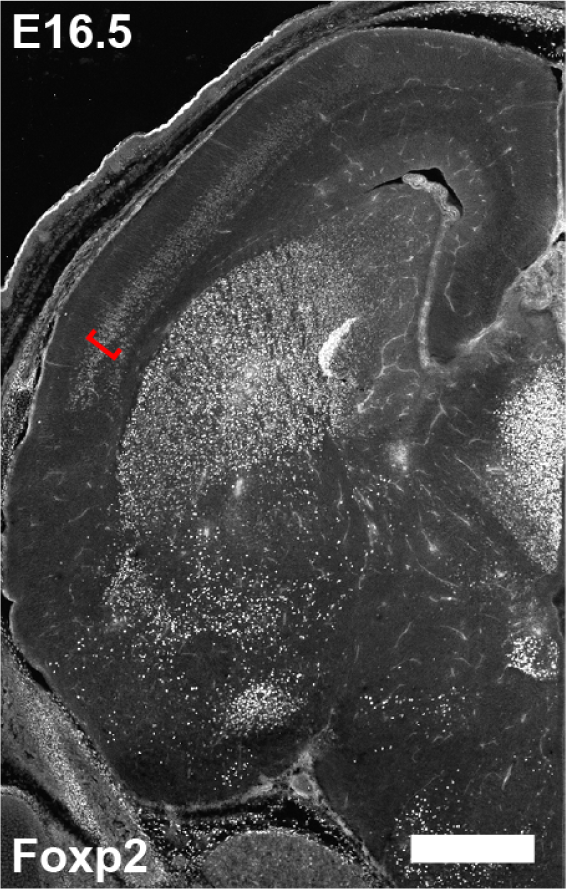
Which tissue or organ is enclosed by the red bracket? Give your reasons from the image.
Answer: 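Infragranular layers. The red bracket spans a densely labelled band in the deep part of the cortical wall. The band lies just above the large labelled mass beneath the cortex.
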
